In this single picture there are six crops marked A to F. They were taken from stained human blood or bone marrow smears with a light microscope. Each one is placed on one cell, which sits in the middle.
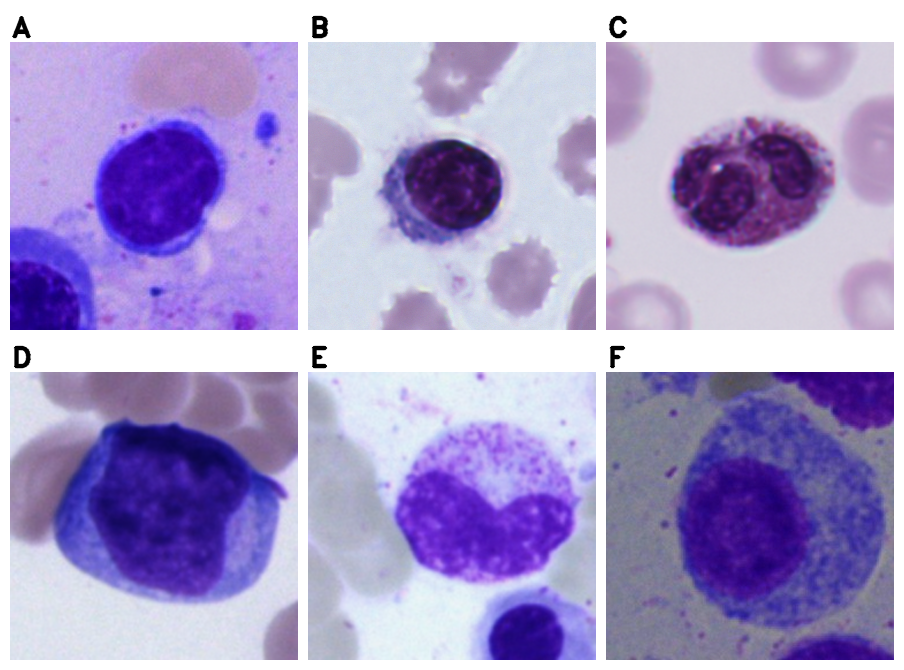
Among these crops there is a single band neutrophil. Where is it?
E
